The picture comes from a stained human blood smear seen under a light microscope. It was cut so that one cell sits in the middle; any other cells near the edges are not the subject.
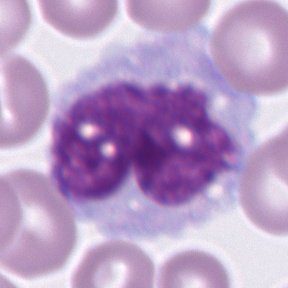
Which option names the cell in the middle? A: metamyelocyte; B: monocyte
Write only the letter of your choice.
B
